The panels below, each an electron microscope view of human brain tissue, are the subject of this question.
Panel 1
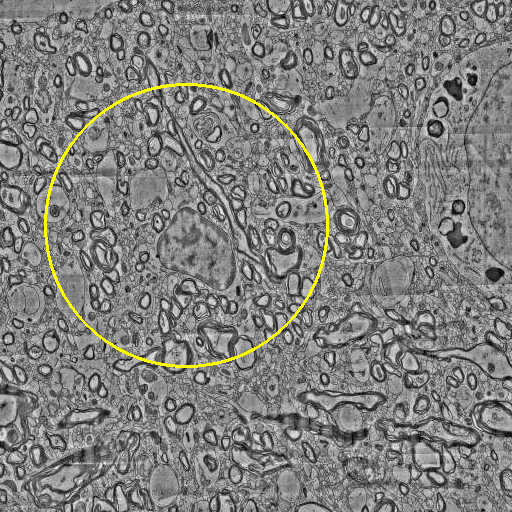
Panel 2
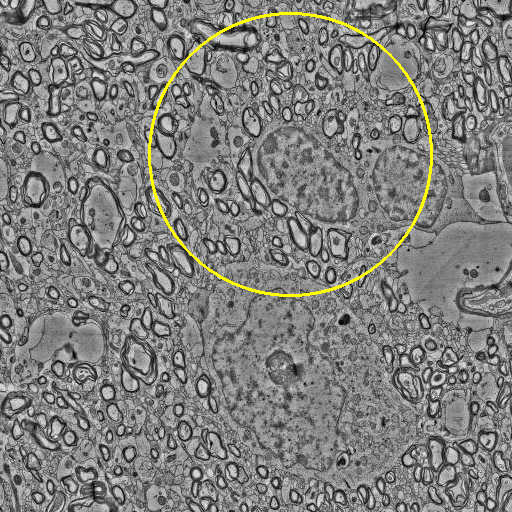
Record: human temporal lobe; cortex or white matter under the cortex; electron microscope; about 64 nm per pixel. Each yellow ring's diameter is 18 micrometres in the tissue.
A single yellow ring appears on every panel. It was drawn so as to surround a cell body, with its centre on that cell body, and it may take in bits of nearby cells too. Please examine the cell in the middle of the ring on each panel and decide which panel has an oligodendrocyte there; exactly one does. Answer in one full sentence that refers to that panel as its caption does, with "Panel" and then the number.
Panel 2 is where the ring's central cell answers the question.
